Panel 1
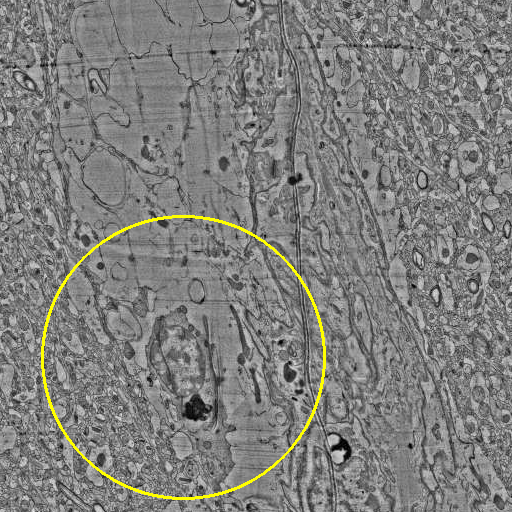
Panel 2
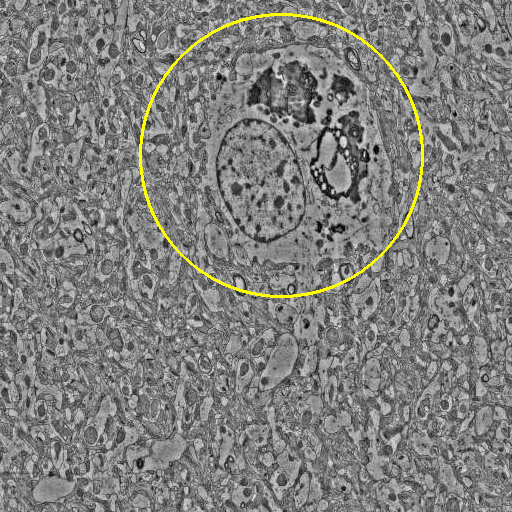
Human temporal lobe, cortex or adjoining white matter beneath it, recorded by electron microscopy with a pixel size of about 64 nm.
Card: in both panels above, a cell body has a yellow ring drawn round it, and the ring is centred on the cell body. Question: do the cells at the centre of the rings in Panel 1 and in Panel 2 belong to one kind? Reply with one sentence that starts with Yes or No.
No, the cells centred in the rings of Panel 1 and Panel 2 are two kinds of cell.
